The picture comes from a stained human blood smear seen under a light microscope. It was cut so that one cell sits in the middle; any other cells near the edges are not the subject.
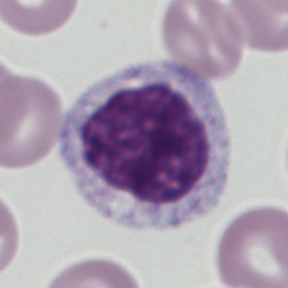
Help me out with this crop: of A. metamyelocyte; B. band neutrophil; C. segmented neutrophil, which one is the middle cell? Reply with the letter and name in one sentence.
Identified correctly by option A, the cell in the middle is a metamyelocyte.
